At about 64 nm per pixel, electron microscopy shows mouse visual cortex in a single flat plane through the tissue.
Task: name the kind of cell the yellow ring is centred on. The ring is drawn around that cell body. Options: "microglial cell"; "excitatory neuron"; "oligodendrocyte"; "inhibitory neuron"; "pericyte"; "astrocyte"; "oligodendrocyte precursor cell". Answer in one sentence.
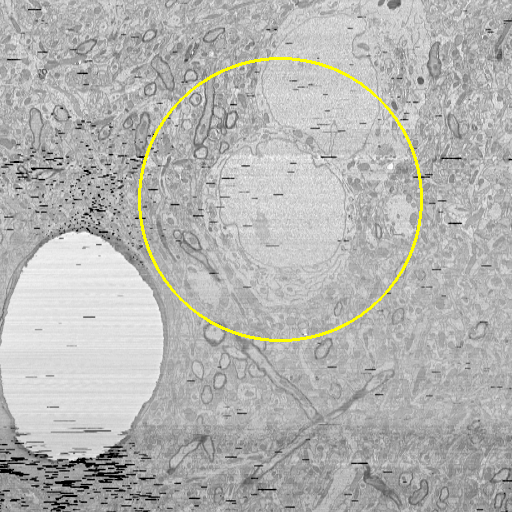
This cell body belongs to an inhibitory neuron.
